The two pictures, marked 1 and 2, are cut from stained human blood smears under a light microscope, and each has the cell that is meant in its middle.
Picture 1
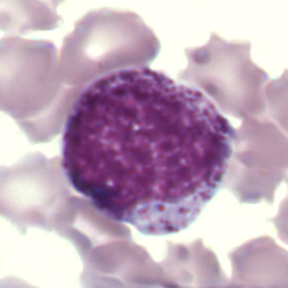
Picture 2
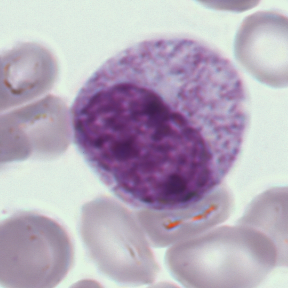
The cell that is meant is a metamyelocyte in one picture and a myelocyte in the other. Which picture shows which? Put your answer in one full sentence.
The cell in picture 1 is a myelocyte, and the one in picture 2 is a metamyelocyte.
